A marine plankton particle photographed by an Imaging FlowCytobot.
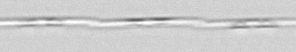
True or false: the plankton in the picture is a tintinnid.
False; it is Pseudo-nitzschia.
